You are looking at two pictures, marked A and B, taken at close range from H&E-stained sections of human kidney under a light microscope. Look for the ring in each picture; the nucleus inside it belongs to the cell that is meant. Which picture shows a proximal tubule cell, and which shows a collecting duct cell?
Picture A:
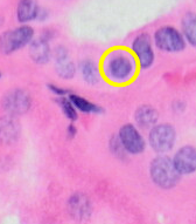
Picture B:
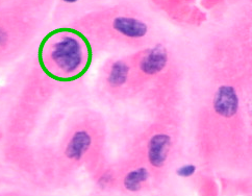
A: collecting duct cell
B: proximal tubule cell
